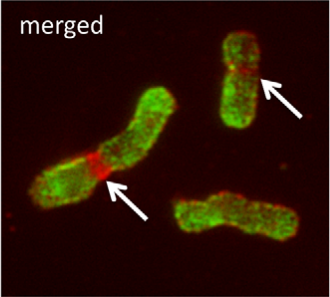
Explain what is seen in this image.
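This close view shows a few condensed metaphase chromosomes, each a rounded rod with a grainy surface. The arms are stained mostly green, with a thin red edge along some of them. The longest chromosome, at lower left, has a bright red band across its middle constriction, where the green is nearly gone, so the chromosome looks divided into two green halves. A shorter chromosome at upper right carries a thin red line across it, and a third lies horizontally at the bottom.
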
